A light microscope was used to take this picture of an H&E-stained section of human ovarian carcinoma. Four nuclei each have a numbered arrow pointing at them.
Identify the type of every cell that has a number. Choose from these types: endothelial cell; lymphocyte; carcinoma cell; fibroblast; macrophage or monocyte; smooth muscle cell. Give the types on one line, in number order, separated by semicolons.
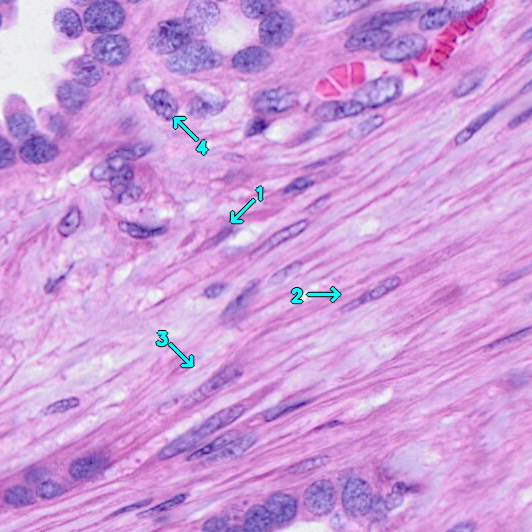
fibroblast; fibroblast; fibroblast; macrophage or monocyte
